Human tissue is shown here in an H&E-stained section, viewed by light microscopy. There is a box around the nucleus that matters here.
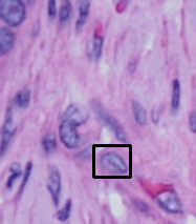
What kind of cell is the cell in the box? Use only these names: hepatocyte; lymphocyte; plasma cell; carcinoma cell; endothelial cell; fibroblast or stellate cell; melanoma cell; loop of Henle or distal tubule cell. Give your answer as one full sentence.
Histopathologically, the cell in the box is an endothelial cell.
